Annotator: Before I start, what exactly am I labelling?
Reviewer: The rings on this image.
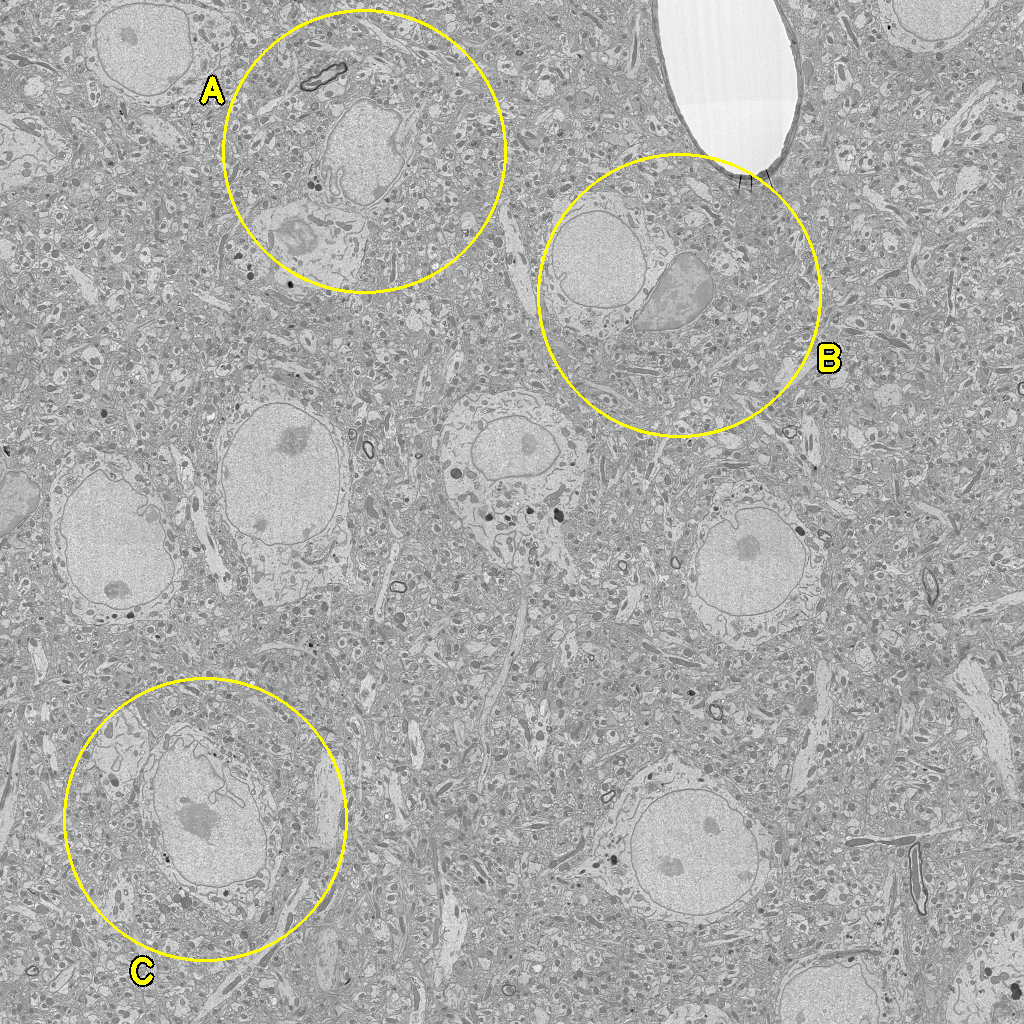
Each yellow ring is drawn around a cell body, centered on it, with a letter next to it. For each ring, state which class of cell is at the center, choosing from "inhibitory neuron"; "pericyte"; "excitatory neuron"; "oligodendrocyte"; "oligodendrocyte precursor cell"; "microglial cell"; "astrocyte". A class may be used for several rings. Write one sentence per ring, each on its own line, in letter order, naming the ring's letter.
At the center of ring A we have an oligodendrocyte precursor cell.
At the center of ring B we have a microglial cell.
At the center of ring C we have an inhibitory neuron.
